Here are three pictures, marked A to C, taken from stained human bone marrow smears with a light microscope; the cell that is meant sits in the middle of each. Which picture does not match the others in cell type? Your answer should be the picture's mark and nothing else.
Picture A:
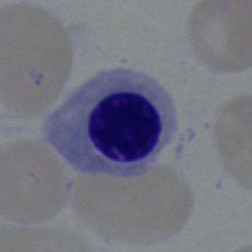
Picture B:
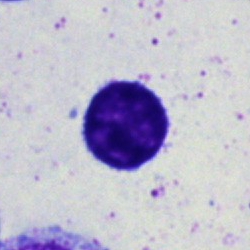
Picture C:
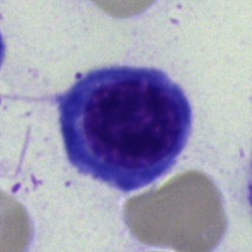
B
